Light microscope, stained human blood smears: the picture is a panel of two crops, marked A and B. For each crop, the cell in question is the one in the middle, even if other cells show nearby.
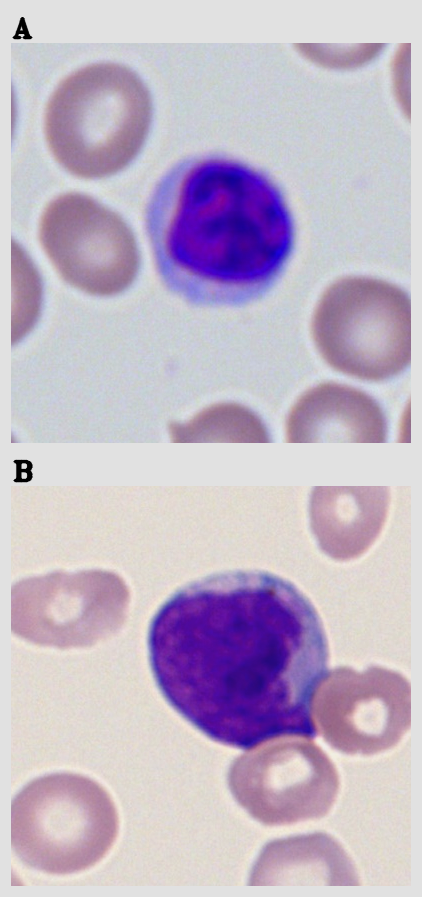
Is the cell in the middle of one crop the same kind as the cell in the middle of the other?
no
